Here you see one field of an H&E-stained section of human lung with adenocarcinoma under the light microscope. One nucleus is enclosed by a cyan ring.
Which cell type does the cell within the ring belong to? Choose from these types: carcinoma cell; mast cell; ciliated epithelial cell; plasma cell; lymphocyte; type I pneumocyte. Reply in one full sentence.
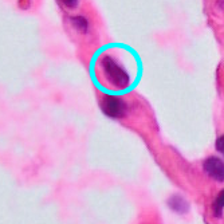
The cell meant here is a type I pneumocyte.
